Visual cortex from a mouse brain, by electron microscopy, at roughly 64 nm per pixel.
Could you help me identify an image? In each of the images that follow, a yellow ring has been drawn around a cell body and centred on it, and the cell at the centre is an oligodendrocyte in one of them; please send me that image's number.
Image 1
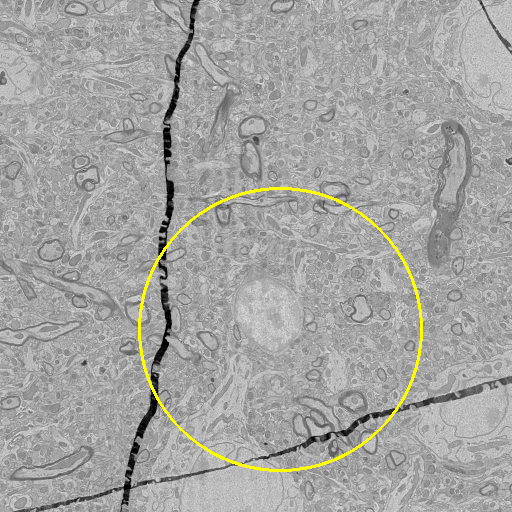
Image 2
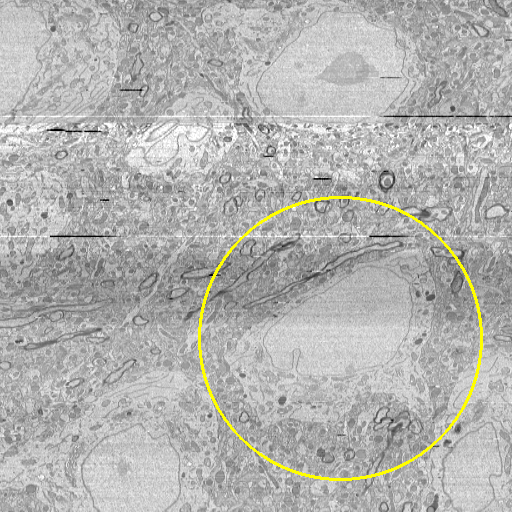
1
